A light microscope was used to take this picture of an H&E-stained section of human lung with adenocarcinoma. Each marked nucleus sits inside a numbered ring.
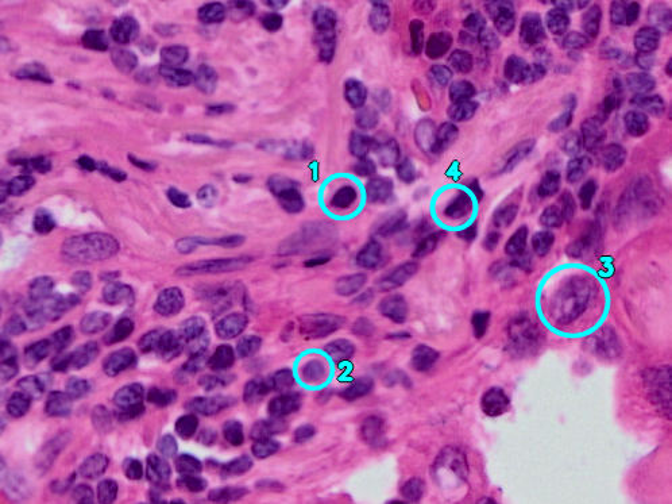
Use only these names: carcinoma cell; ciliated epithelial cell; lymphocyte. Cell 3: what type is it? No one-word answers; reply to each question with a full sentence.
In the marked set, the cell given number 3 is a carcinoma cell.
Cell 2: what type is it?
The one numbered 2 among the marked cells is a lymphocyte.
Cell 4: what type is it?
In this section, number 4 marks a lymphocyte.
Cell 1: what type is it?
Here the cell numbered 1 is a lymphocyte.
